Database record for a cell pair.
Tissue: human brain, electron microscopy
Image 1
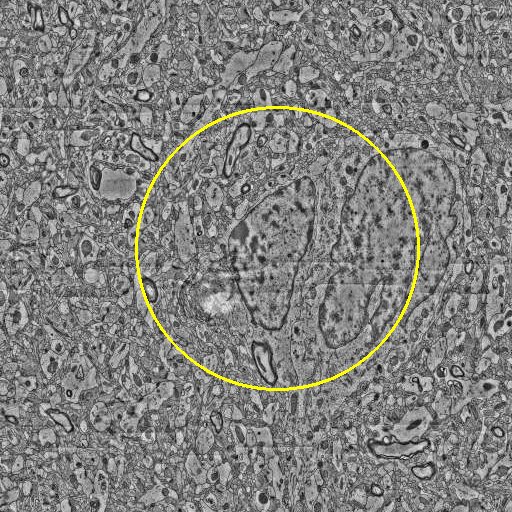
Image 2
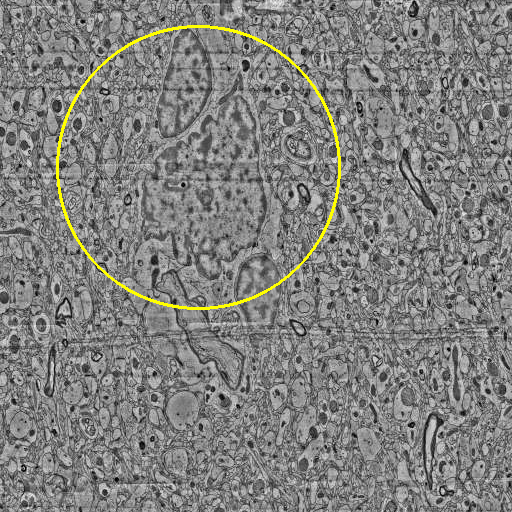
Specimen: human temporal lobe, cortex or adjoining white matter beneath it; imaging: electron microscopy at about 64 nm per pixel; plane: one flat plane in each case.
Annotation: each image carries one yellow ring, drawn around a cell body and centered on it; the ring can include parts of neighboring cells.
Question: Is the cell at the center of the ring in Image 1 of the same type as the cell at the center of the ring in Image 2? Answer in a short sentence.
Yes, the cells are of the same type.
